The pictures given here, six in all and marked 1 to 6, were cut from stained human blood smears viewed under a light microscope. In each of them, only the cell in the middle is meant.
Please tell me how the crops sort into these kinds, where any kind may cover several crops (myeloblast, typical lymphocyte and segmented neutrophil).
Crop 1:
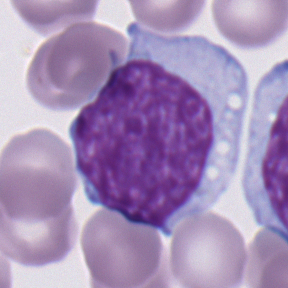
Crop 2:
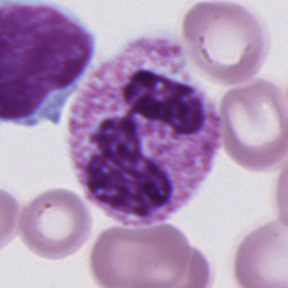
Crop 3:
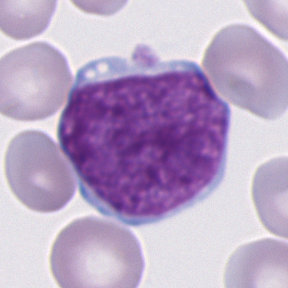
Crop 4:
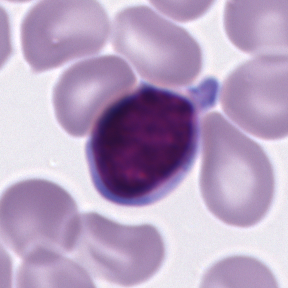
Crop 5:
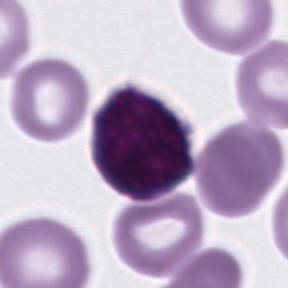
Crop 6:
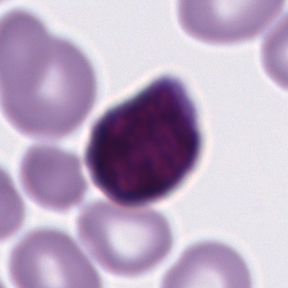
1: myeloblast
2: segmented neutrophil
3: myeloblast
4: typical lymphocyte
5: myeloblast
6: myeloblast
